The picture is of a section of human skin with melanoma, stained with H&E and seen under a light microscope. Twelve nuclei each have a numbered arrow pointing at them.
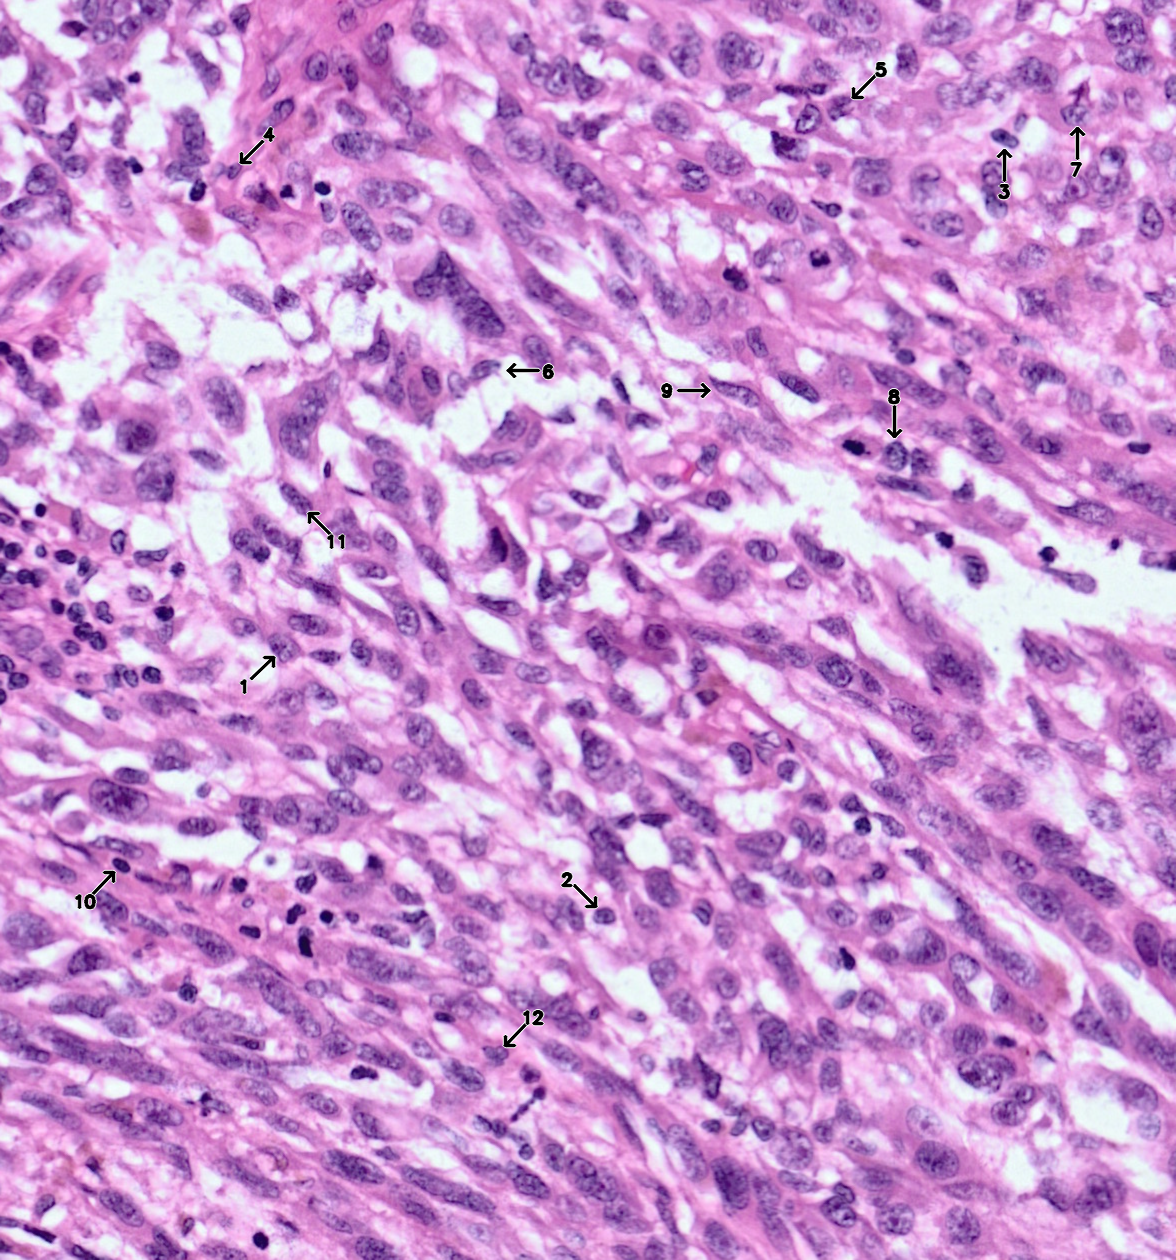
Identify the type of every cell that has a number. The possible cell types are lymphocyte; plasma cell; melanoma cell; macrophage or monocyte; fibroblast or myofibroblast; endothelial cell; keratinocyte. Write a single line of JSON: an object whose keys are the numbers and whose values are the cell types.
{"1": "melanoma cell", "2": "lymphocyte", "3": "lymphocyte", "4": "macrophage or monocyte", "5": "melanoma cell", "6": "melanoma cell", "7": "melanoma cell", "8": "melanoma cell", "9": "melanoma cell", "10": "lymphocyte", "11": "melanoma cell", "12": "macrophage or monocyte"}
